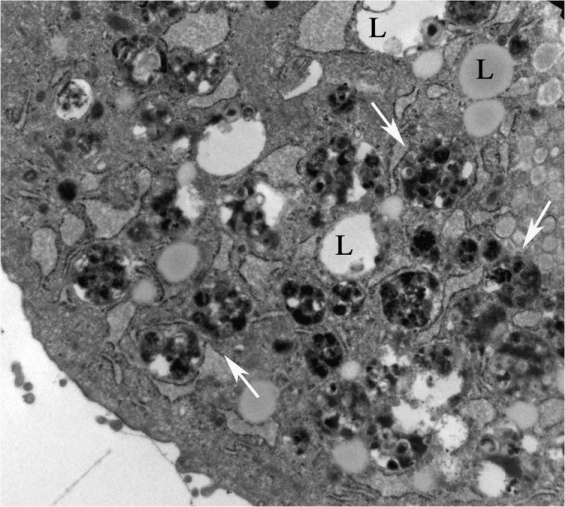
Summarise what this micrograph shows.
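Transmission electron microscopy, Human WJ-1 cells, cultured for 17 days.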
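The cytoplasm of a differentiating adipocyte is seen at the cell edge, filled with organelles. Numerous rounded membrane-bound autophagy bodies contain clusters of small electron-dense granules and pale vesicles. Between them lie round, homogeneous, pale grey to clear lipid vacuoles of varying size. Irregular pale vacuolar spaces and short profiles of membranes are scattered throughout the cytoplasm. The plasma membrane borders the lower left corner against the clear extracellular space.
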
